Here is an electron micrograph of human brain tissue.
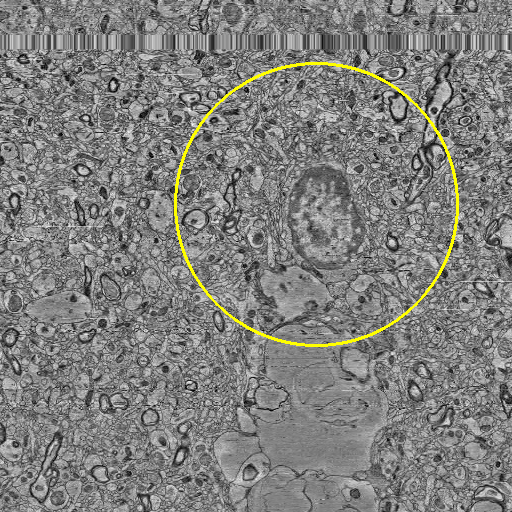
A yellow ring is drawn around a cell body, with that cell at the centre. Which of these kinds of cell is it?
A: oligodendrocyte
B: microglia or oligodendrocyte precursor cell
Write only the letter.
A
